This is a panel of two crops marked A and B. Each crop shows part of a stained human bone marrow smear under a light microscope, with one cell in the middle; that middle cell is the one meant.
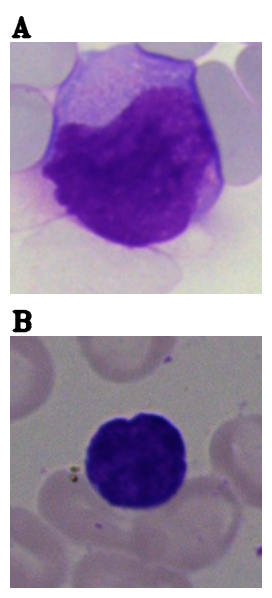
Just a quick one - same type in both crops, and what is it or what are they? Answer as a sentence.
No, a lymphocyte is the cell of crop B, while a blast is the cell of crop A.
